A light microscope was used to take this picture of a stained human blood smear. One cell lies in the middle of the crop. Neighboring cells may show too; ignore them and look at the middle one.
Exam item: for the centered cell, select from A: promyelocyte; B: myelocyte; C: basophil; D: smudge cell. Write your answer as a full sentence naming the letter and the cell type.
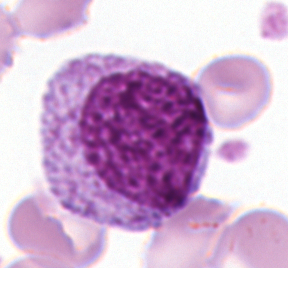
Option B is correct in naming the middle cell a myelocyte.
